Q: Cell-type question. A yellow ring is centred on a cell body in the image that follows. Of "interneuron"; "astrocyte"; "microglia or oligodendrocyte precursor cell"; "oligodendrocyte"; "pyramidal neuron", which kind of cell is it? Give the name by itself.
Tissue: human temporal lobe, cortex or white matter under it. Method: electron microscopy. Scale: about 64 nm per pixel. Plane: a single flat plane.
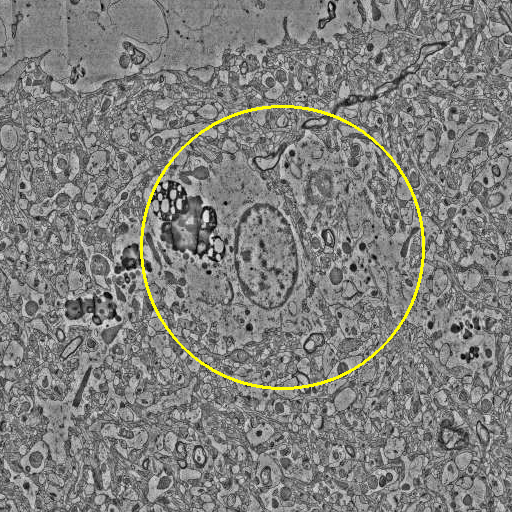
astrocyte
